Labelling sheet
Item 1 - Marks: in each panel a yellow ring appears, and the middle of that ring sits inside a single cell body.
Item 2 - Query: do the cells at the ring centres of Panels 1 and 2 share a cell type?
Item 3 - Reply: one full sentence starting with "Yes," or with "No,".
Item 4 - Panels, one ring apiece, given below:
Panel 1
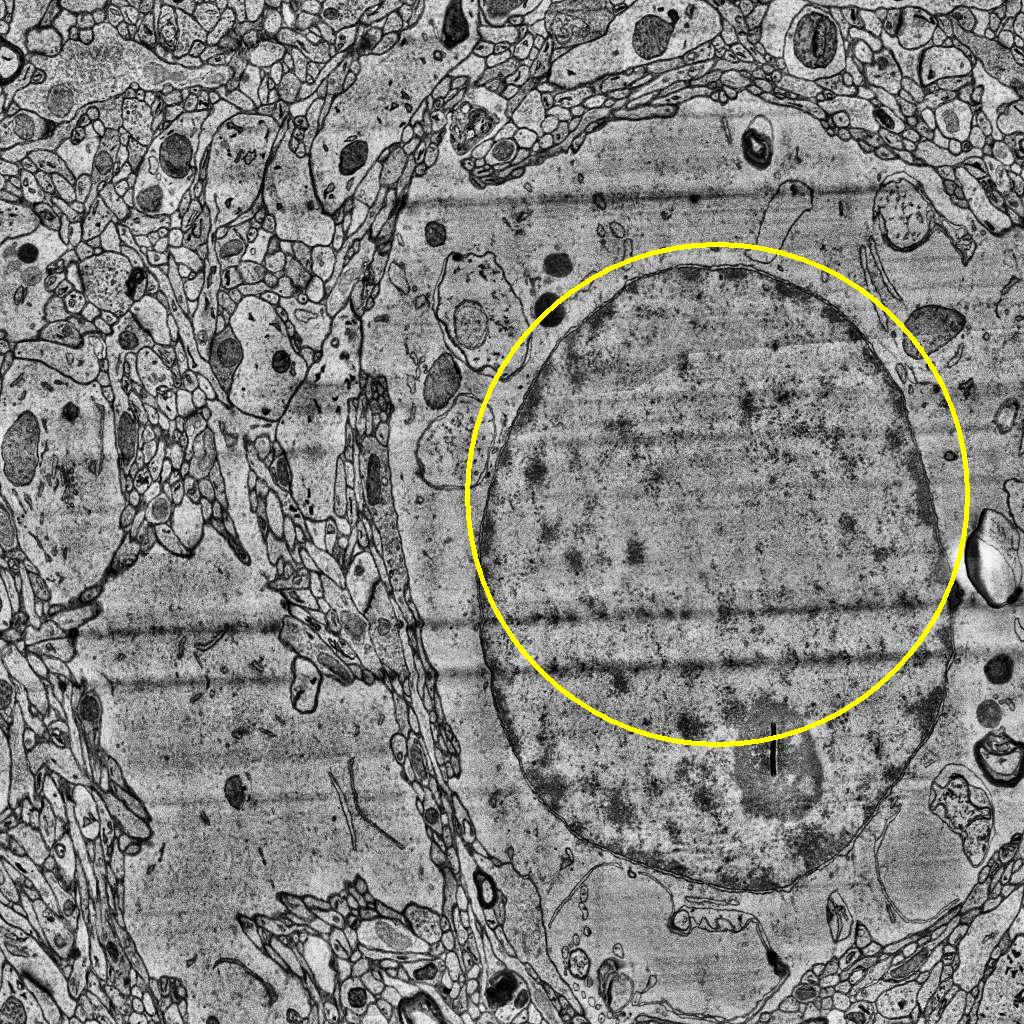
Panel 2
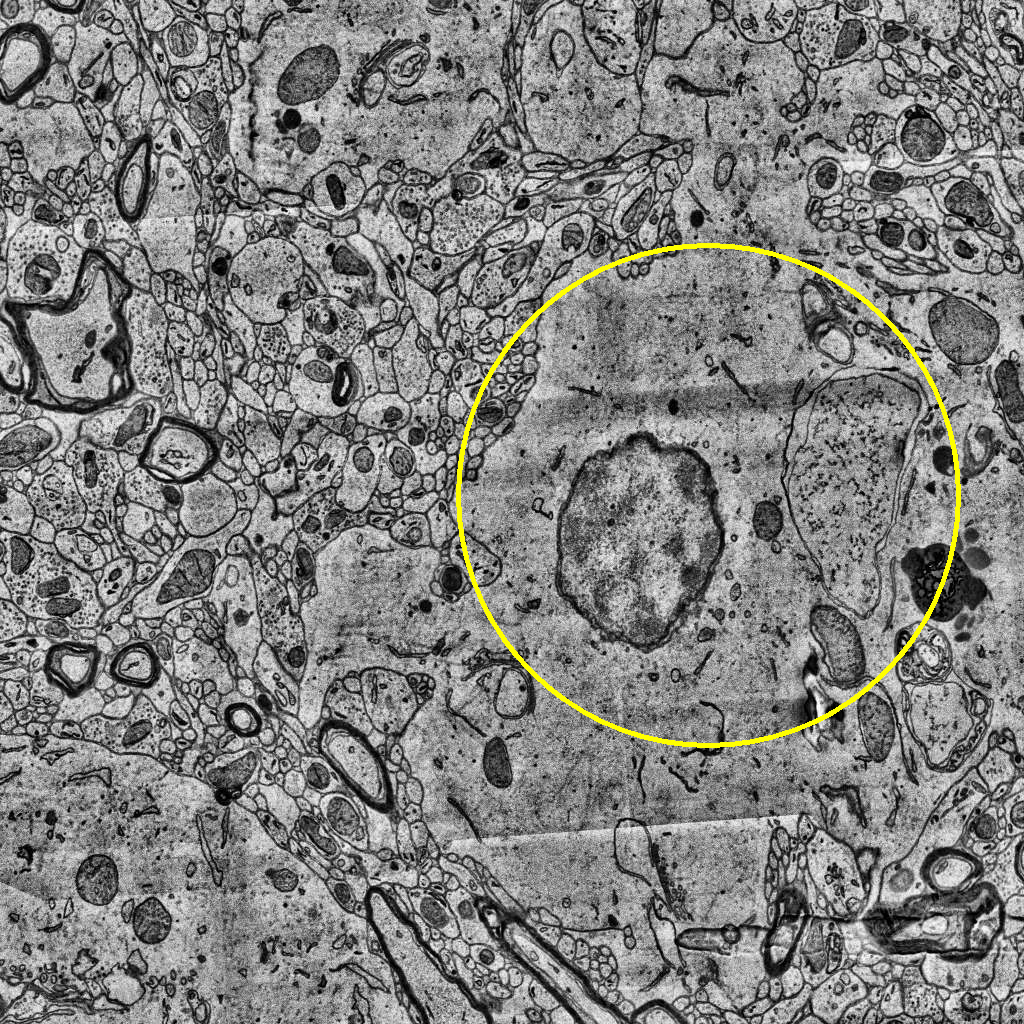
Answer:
Yes, Panel 1 and Panel 2 show one cell type at the centres of their rings.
